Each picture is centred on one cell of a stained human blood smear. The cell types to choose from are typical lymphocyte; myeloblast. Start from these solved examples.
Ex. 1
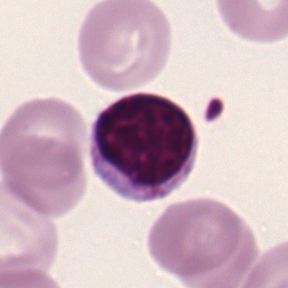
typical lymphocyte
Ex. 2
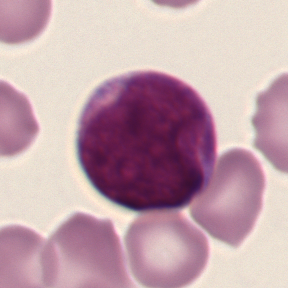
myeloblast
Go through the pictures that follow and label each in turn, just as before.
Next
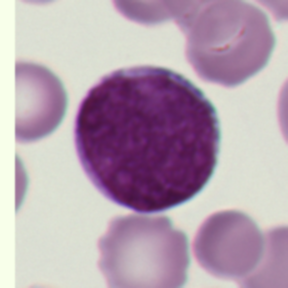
myeloblast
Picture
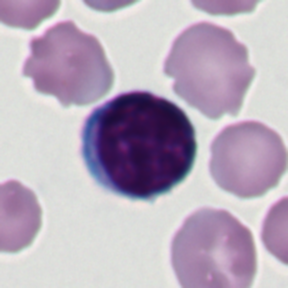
typical lymphocyte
